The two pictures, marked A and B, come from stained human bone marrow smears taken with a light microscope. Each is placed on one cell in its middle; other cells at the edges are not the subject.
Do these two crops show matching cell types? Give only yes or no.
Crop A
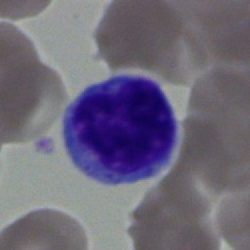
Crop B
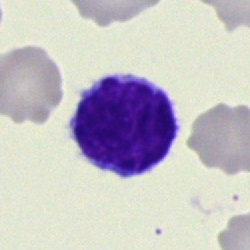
yes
